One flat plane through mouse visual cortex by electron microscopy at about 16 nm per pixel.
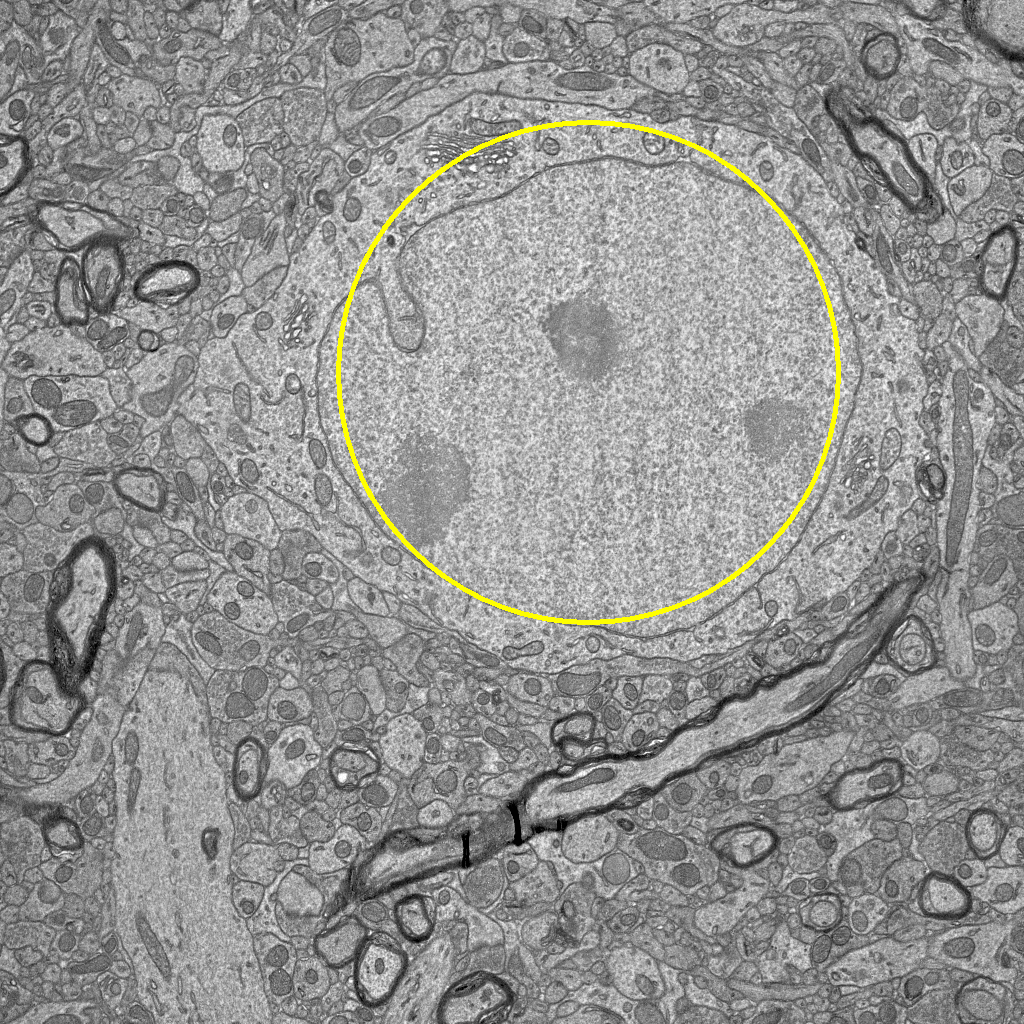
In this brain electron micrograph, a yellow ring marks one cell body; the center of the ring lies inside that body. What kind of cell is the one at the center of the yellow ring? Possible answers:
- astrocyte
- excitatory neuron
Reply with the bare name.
excitatory neuron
